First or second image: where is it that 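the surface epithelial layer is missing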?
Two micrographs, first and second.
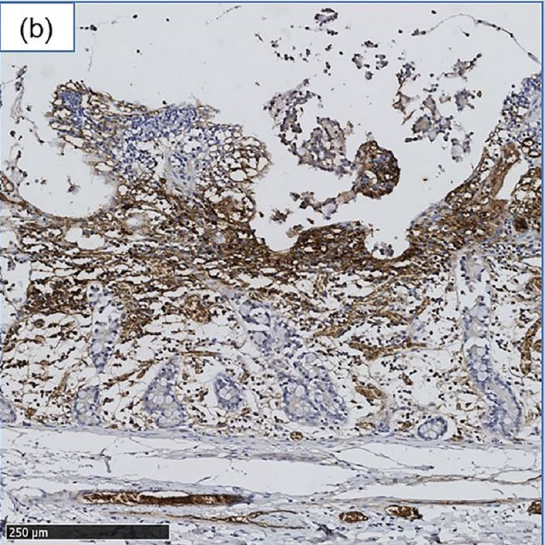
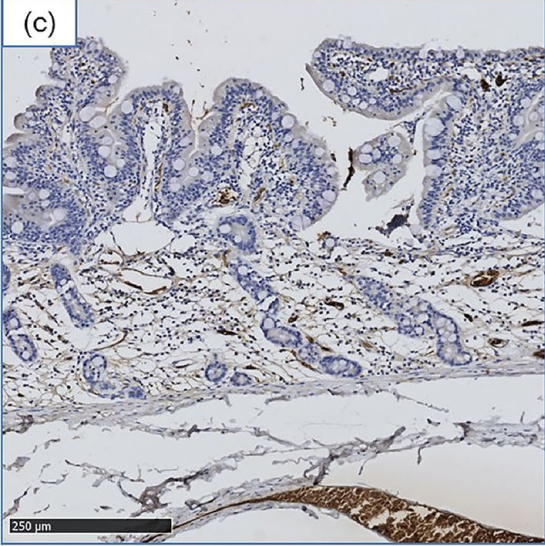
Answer: The first image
